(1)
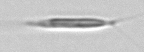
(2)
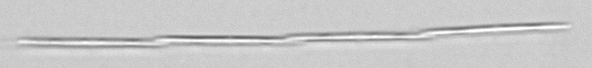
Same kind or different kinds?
Different: the first is Calciosolenia, the second Pseudo-nitzschia.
